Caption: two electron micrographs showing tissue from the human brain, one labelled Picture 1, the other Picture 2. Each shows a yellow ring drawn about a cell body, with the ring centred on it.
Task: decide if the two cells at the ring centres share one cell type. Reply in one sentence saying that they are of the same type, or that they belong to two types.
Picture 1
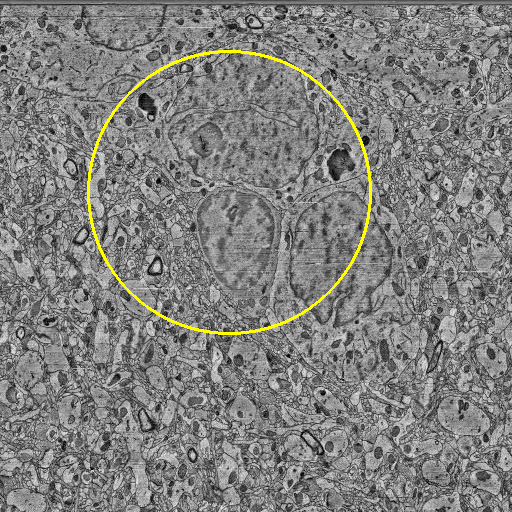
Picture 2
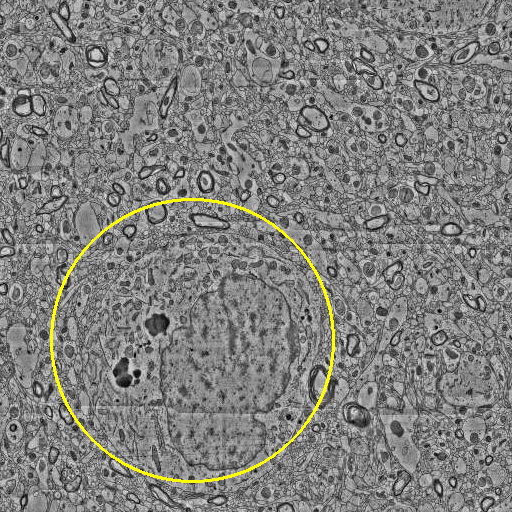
The cells at the ring centres in Picture 1 and Picture 2 belong to two types.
